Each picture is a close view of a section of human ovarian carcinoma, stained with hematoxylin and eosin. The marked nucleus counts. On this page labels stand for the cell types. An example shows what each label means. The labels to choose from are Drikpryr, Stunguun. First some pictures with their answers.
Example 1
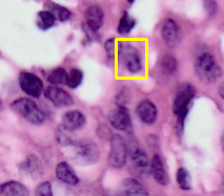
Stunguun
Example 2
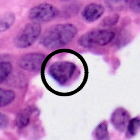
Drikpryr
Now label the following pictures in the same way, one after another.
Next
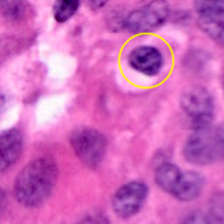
Stunguun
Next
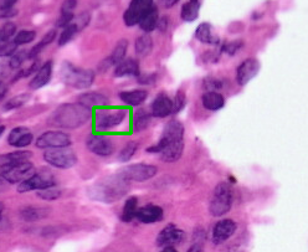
Drikpryr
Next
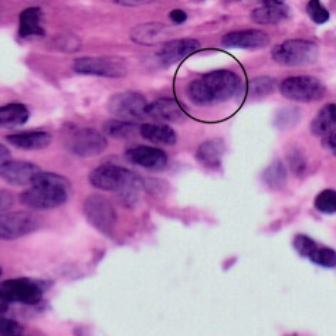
Drikpryr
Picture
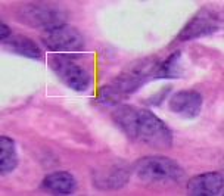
Drikpryr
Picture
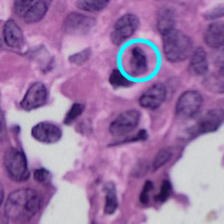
Stunguun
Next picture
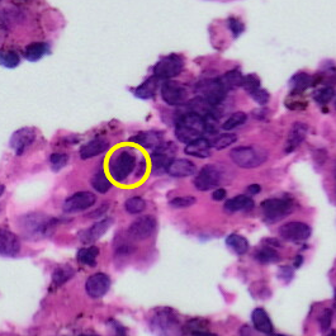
Drikpryr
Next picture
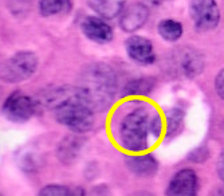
Drikpryr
